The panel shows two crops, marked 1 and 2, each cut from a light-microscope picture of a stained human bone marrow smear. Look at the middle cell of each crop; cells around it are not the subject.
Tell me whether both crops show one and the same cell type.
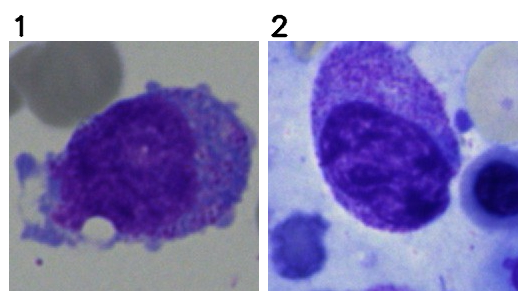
no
